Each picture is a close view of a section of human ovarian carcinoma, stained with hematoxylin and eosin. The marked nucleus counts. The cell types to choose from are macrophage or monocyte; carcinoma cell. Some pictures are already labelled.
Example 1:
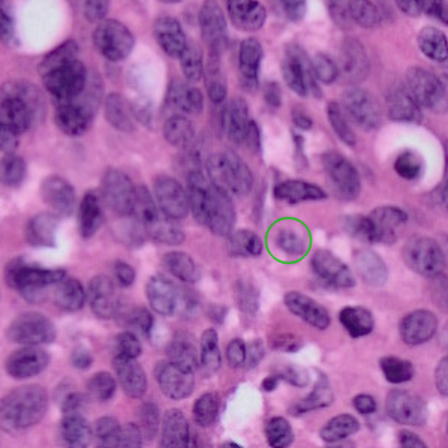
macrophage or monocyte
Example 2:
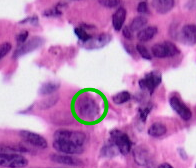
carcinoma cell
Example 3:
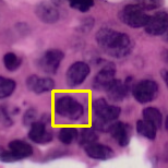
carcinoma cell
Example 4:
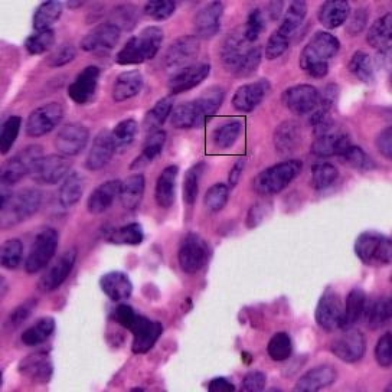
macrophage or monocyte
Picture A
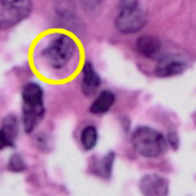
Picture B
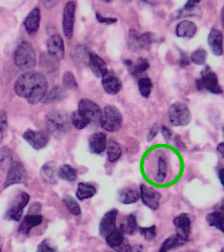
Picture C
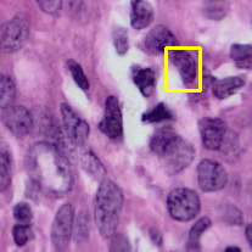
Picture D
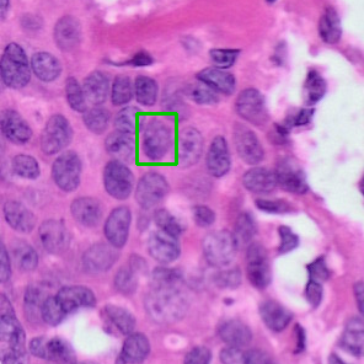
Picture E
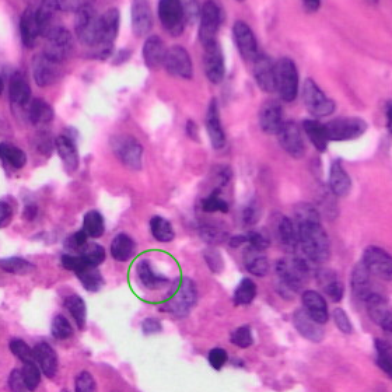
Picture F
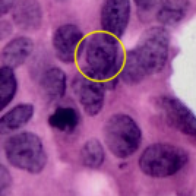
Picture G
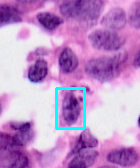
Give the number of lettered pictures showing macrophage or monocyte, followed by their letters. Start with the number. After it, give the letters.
Count: 4 (A, B, E, G)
